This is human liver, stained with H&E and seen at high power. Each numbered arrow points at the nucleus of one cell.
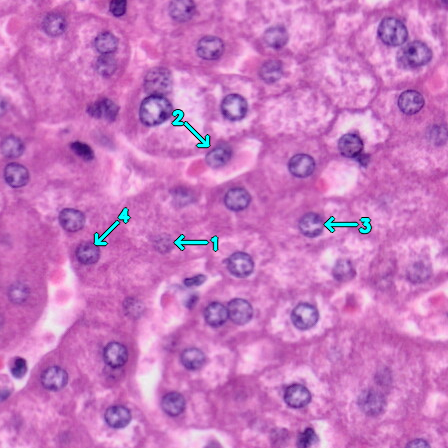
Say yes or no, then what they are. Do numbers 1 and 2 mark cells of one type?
No, while cell 1 is a hepatocyte, cell 2 is a Kupffer cell.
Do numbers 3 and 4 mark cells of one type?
Yes, cell 3 and cell 4 are both hepatocytes.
